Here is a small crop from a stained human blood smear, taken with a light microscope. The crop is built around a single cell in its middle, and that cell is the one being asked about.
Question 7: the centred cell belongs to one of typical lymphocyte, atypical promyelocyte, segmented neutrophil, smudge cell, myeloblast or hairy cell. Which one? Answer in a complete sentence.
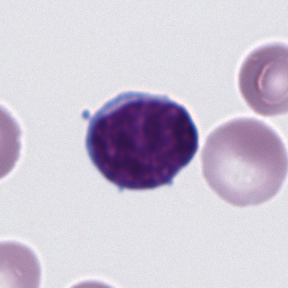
The cell at the middle of the crop is recognized as a typical lymphocyte.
